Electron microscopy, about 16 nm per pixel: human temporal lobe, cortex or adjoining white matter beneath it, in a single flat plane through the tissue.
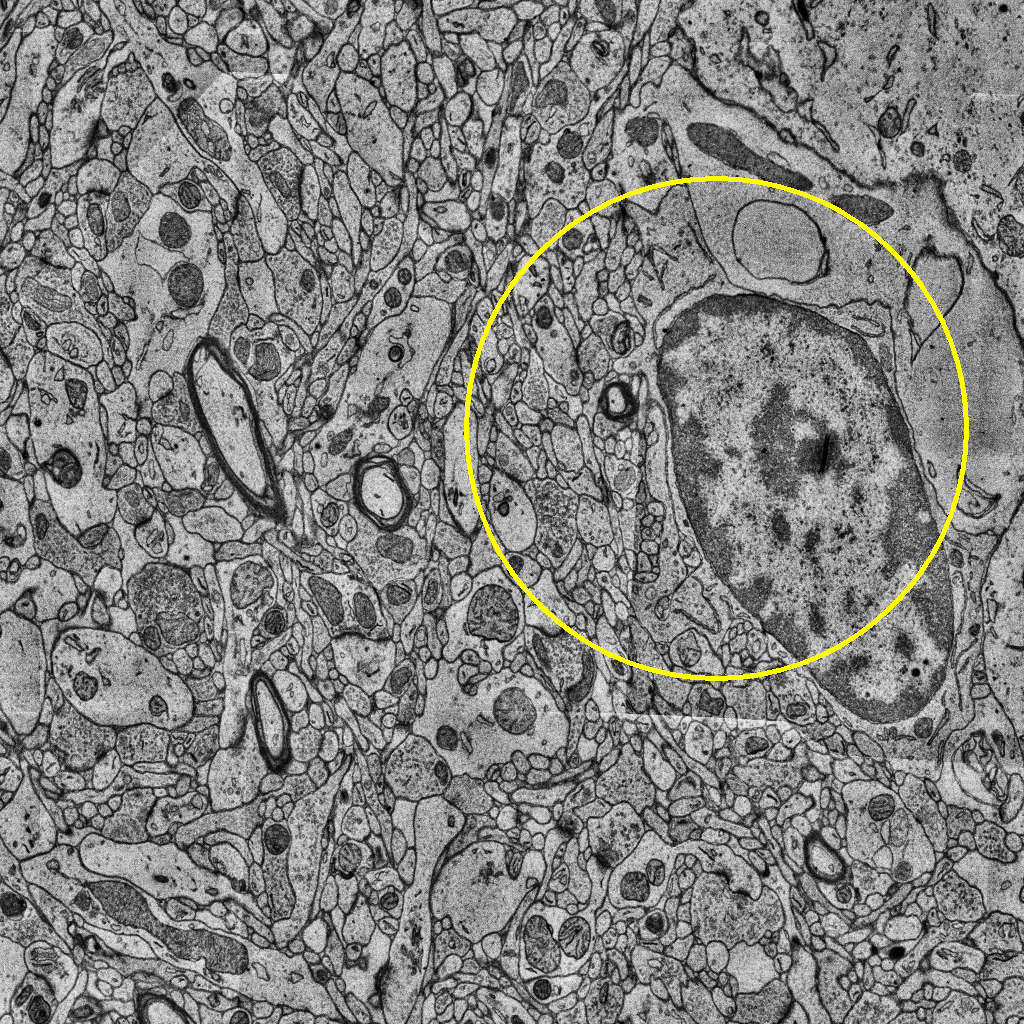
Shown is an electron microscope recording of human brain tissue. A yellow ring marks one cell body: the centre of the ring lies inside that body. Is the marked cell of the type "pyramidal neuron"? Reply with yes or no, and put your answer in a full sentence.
No, in the picture, the cell containing the ring's centre has a different type.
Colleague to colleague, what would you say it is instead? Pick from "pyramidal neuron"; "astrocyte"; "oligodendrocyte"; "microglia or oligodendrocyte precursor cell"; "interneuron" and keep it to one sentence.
Sitting at the ring centre is a microglial cell or oligodendrocyte precursor cell.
